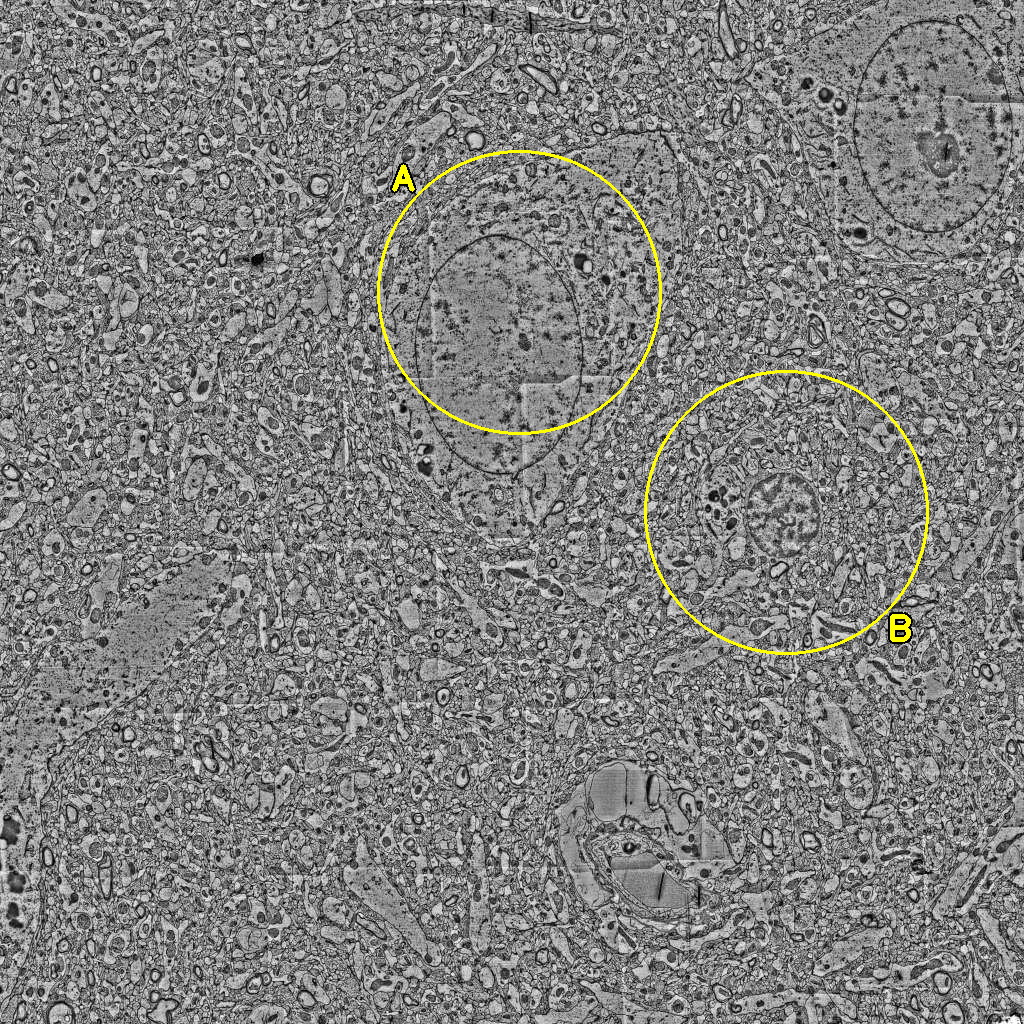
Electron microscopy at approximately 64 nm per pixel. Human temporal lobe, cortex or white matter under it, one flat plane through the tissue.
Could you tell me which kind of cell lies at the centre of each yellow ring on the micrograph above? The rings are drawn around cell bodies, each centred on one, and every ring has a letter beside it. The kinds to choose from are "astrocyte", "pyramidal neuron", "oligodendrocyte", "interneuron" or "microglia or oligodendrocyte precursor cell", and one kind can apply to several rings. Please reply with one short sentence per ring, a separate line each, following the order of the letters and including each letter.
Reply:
Ring A circles a pyramidal neuron.
Ring B circles an oligodendrocyte.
